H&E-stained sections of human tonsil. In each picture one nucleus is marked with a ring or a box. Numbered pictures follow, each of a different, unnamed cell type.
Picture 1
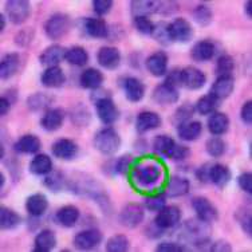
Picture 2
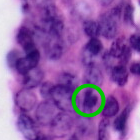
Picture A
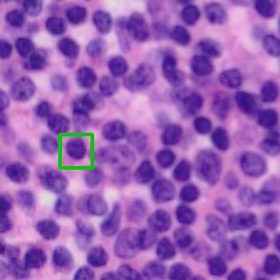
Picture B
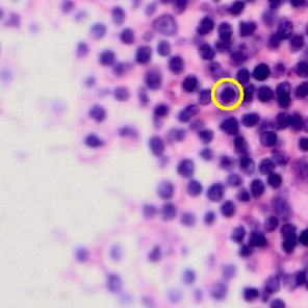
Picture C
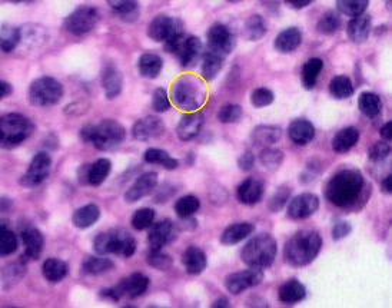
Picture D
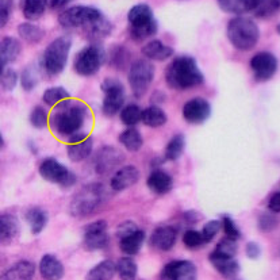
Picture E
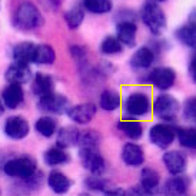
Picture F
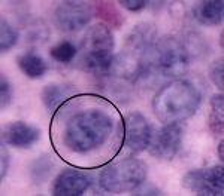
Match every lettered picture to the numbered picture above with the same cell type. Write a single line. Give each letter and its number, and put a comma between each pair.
A 1, B 1, C 2, D 2, E 1, F 2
